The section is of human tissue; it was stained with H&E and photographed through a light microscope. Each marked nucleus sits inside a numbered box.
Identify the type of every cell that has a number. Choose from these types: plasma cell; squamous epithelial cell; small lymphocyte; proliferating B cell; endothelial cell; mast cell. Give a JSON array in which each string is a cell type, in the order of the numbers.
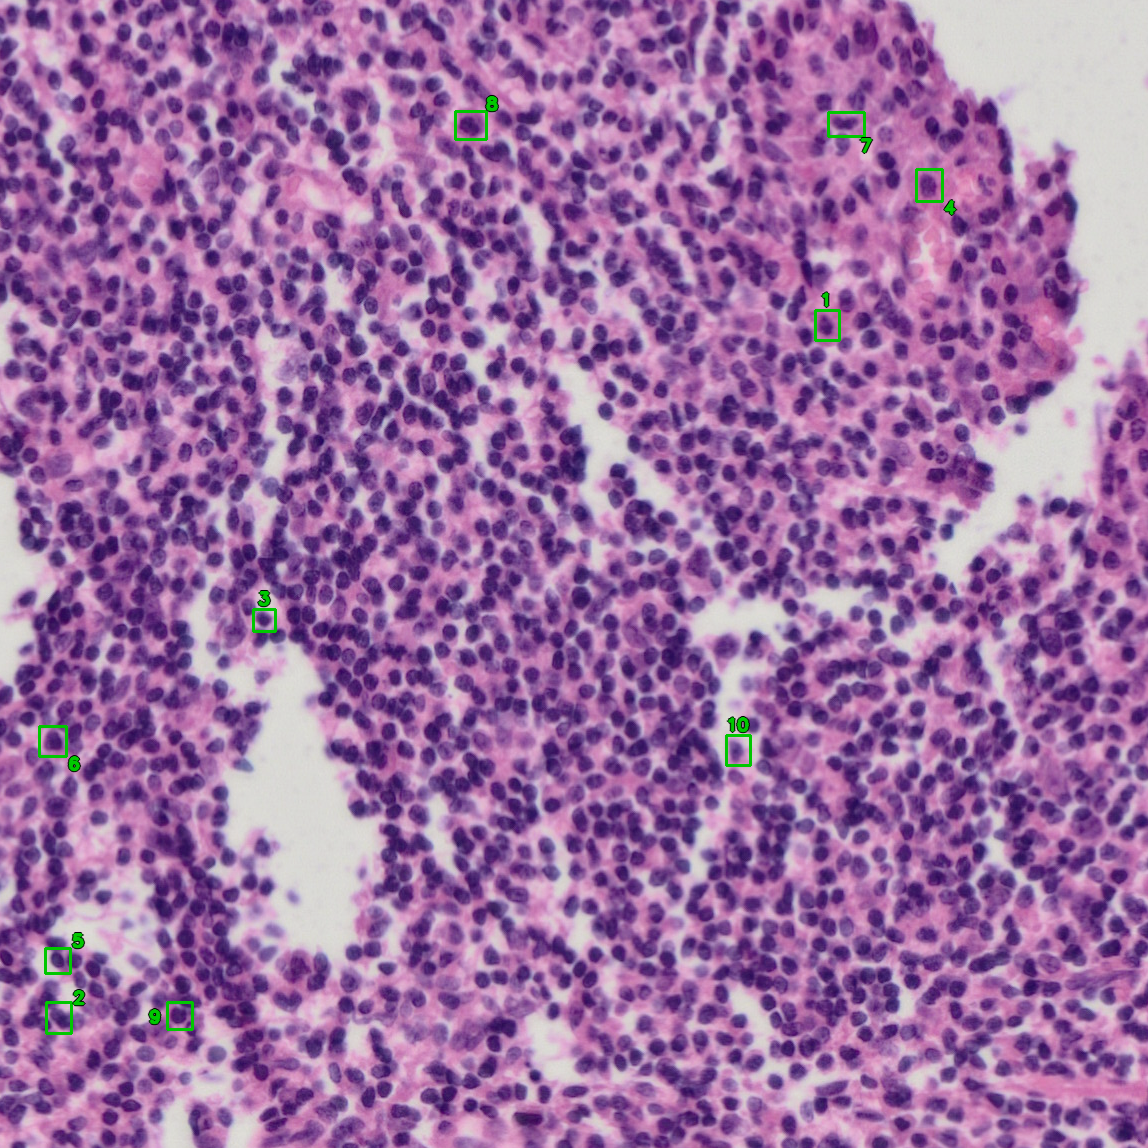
["plasma cell", "small lymphocyte", "small lymphocyte", "plasma cell", "small lymphocyte", "small lymphocyte", "plasma cell", "plasma cell", "small lymphocyte", "small lymphocyte"]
